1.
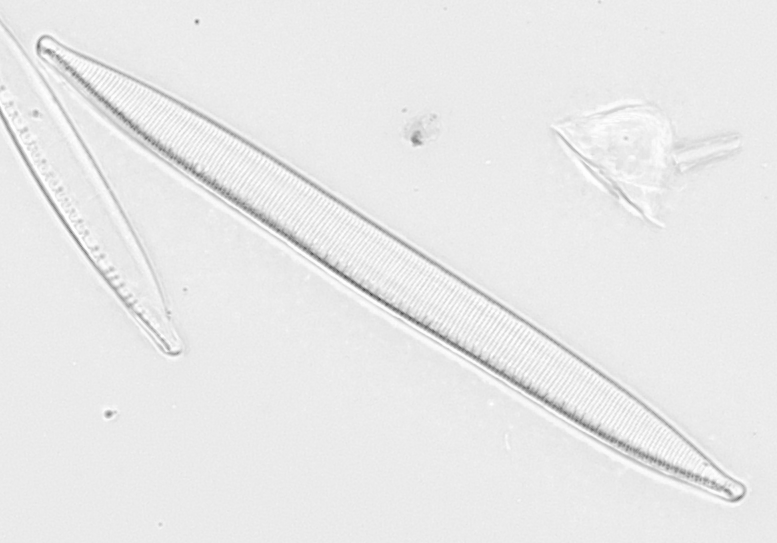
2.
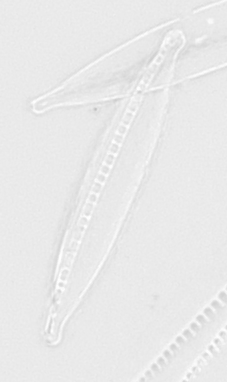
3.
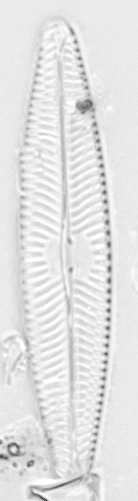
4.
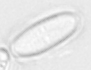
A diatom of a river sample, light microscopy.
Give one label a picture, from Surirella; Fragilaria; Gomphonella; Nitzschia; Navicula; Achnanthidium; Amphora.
(1) Nitzschia
(2) Nitzschia
(3) Navicula
(4) Achnanthidium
